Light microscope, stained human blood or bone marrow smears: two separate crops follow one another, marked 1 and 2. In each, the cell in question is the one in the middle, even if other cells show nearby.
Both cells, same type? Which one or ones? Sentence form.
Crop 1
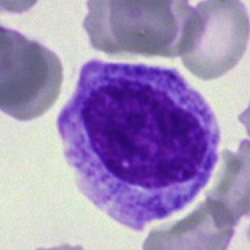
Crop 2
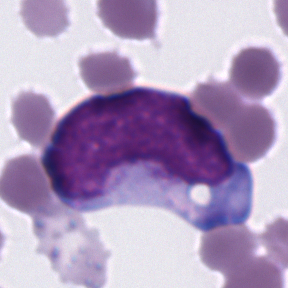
No, in crop 1 the cell is a myelocyte, and in crop 2 it is a monocyte.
